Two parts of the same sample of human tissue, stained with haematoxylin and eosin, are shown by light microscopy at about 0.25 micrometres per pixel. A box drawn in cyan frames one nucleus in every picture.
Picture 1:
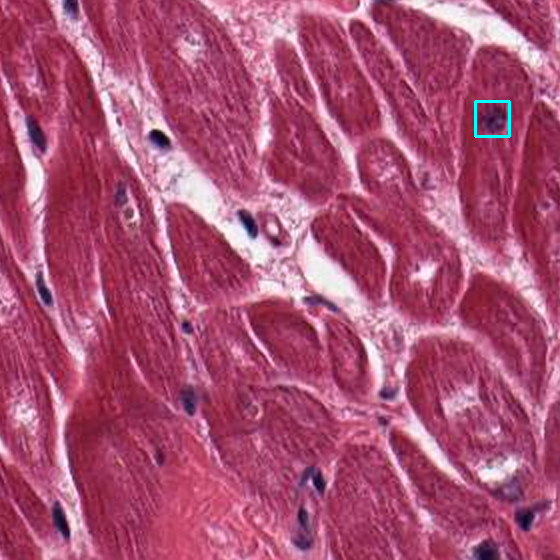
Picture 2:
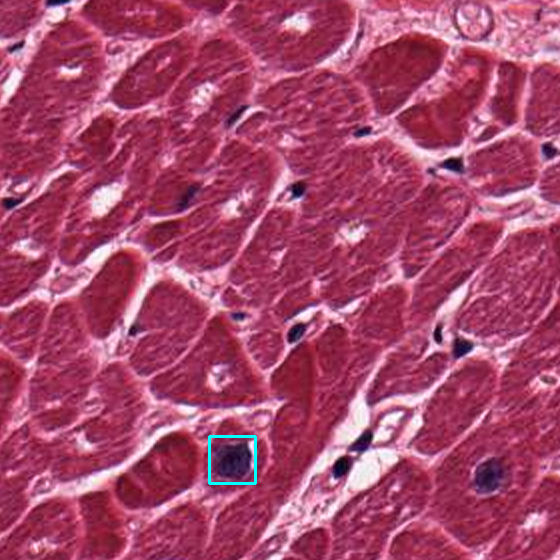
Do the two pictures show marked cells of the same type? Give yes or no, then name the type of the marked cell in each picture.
Yes, both are cardiomyocytes.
